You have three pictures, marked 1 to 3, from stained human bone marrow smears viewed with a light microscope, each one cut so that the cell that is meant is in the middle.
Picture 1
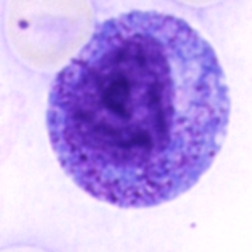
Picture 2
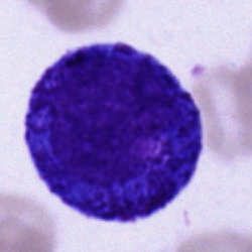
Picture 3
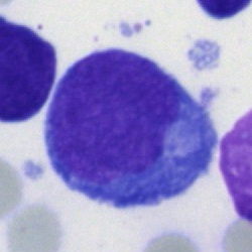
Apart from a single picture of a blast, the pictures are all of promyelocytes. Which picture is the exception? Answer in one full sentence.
The picture with the blast is 3.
